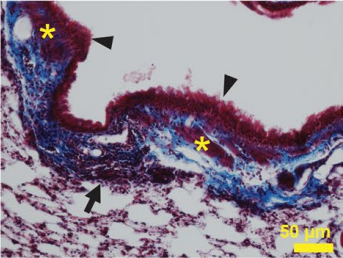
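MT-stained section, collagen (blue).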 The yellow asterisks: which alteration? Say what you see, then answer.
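The asterisks lie in a red-staining layer beneath the airway epithelium. This layer is broad and surrounded by blue-staining fibres.
Hence: thickened muscularis.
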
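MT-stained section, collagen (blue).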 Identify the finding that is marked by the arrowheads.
hypercellular epithelium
